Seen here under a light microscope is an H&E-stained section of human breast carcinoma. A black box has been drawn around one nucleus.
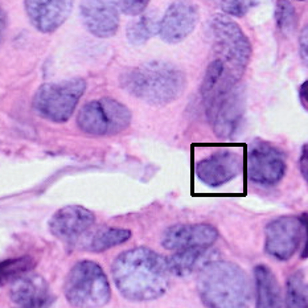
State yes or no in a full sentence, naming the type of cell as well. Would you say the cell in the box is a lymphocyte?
No, not a lymphocyte: the cell in the box is a carcinoma cell.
